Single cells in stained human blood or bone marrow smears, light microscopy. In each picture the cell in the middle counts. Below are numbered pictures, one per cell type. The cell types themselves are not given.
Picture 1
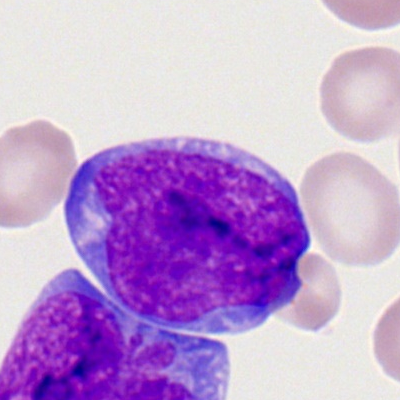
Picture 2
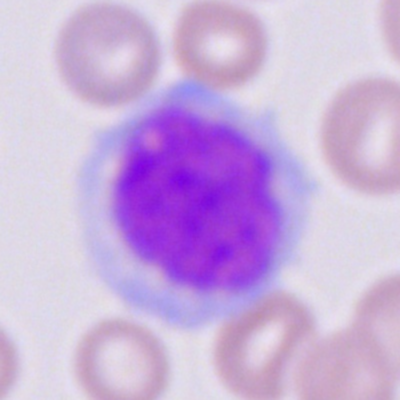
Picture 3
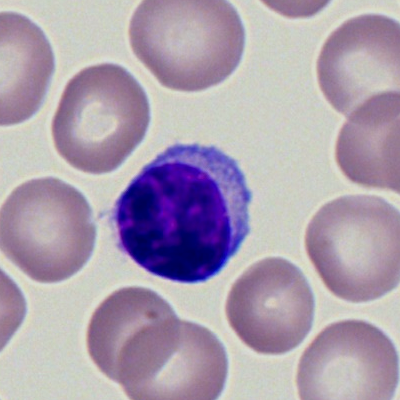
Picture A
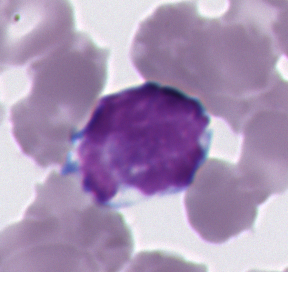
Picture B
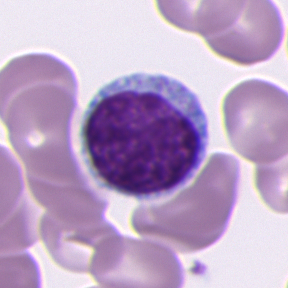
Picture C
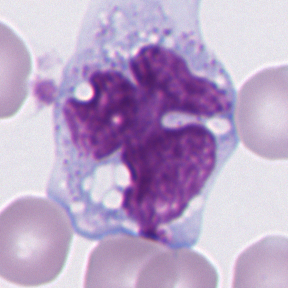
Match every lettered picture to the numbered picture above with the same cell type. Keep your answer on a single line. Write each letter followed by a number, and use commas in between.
A 3, B 3, C 2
